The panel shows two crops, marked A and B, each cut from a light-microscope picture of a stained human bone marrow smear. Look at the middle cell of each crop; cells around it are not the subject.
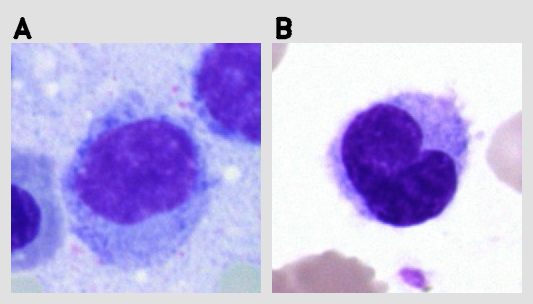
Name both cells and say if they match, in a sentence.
Yes, what both crops show is hairy cells.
